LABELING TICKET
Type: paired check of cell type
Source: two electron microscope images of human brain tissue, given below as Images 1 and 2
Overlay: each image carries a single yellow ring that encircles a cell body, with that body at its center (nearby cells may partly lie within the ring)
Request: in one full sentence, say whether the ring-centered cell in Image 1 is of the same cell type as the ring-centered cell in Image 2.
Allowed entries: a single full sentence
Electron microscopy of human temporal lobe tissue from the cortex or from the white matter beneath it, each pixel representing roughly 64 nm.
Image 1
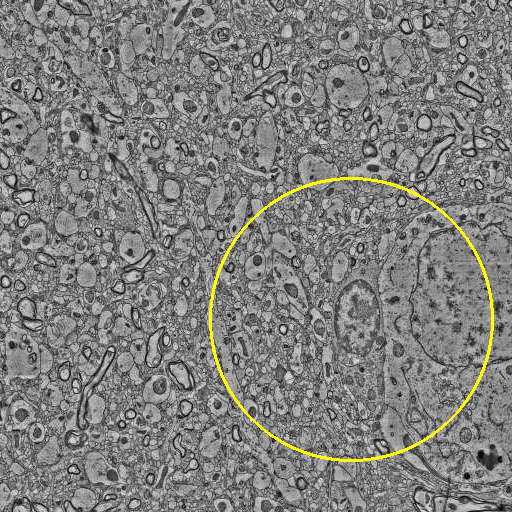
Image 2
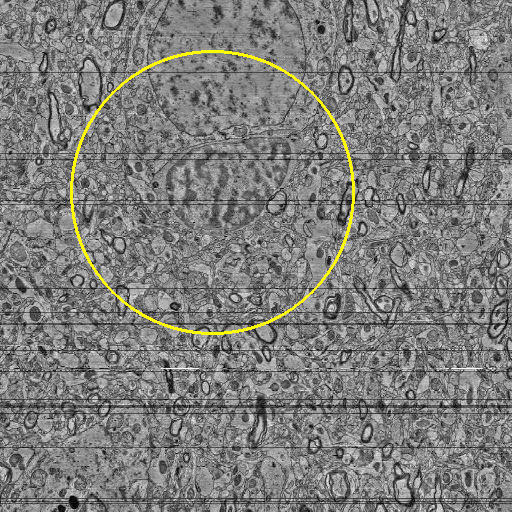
Yes, the cells centered in the rings of Image 1 and Image 2 share one type.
